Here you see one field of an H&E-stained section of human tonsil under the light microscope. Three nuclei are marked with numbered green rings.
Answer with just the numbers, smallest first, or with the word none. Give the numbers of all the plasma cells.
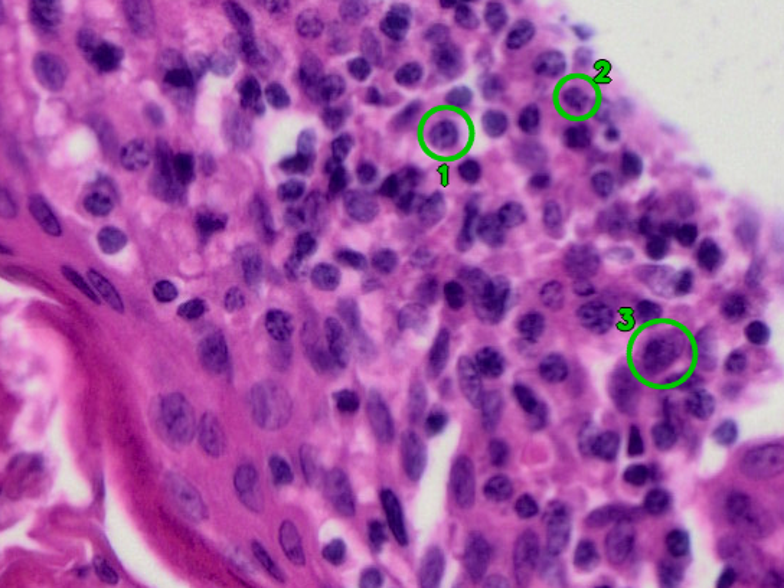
1, 2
